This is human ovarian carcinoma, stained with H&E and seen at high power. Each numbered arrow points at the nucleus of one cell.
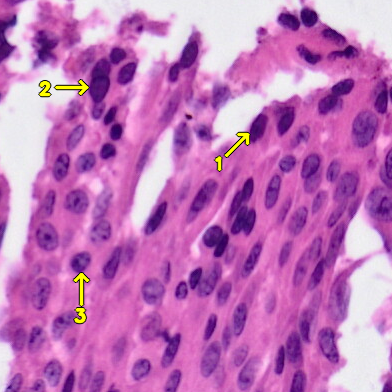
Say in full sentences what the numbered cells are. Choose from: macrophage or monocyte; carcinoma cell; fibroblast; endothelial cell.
Cells 1 and 2 are carcinoma cells. Cell 3 is a macrophage or monocyte.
